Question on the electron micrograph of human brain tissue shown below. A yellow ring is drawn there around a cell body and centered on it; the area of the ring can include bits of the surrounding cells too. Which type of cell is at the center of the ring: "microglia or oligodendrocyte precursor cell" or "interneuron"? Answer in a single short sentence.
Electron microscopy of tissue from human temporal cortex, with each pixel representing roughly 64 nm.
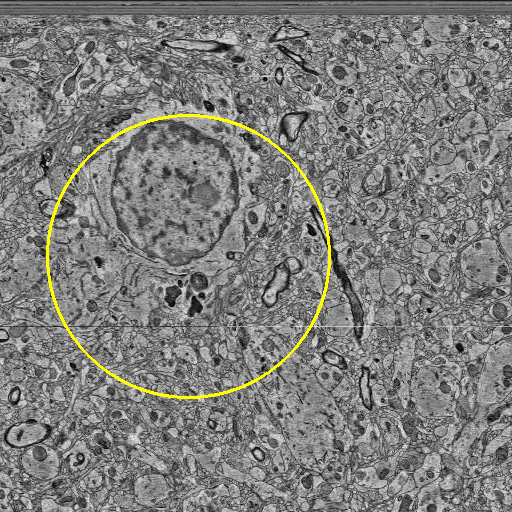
The ring is centered on a microglial cell or oligodendrocyte precursor cell.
